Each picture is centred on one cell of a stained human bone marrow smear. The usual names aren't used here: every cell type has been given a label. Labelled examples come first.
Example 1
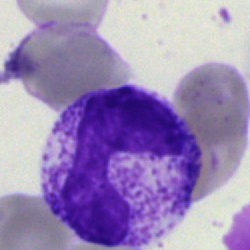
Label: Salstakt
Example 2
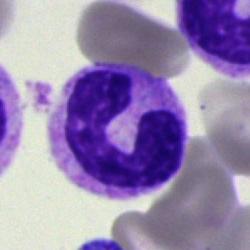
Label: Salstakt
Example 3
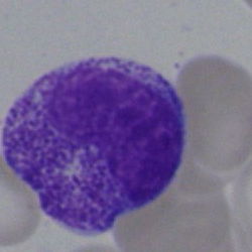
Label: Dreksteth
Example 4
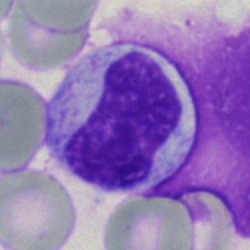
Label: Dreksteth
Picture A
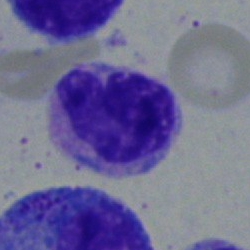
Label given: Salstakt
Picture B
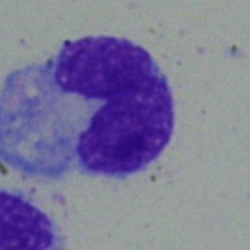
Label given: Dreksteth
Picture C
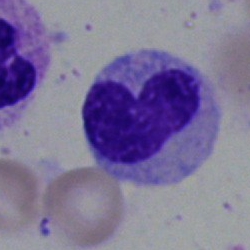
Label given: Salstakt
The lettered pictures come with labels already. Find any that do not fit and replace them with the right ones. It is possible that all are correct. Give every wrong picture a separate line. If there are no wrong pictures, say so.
C is labelled Salstakt; correct label: Dreksteth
